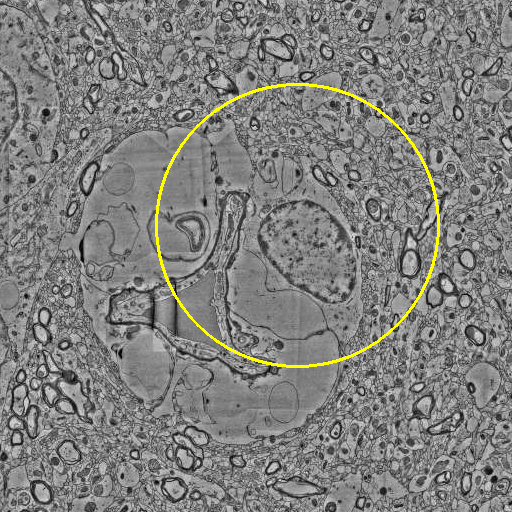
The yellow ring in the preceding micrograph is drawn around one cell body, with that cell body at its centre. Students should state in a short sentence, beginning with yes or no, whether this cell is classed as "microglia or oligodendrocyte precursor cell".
Yes, this cell is of that type.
